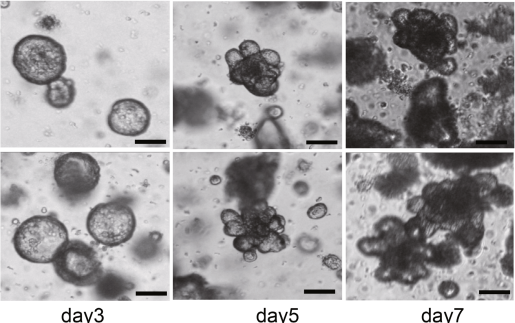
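In the left column they are mostly round, hollow cysts with a thin continuous epithelial wall around a clear lumen. In the middle column the structures have become lumpy, with several rounded buds pushing outward from the central body. In the right column they are larger, darker and densely budded, with many lobes crowding together so that the lumen is harder to see. Small dark debris and cell fragments lie scattered in the surrounding matrix, and the budding structures in the lower row look somewhat larger and more branched than those in the upper row.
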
